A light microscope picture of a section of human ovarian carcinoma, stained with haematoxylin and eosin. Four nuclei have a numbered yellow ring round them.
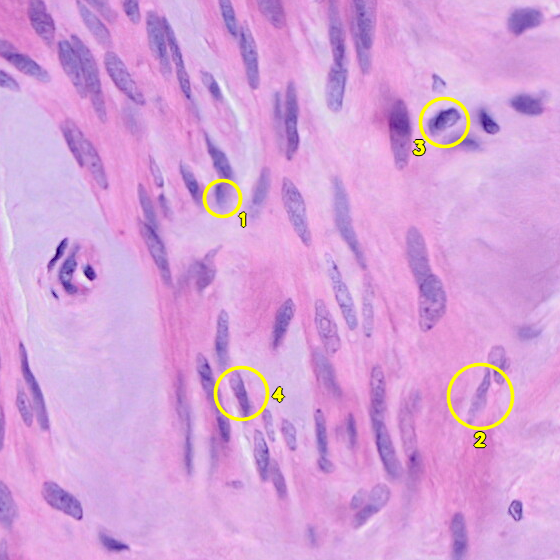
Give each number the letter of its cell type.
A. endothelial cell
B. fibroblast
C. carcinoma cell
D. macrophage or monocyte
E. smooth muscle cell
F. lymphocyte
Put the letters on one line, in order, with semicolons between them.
E; E; B; E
